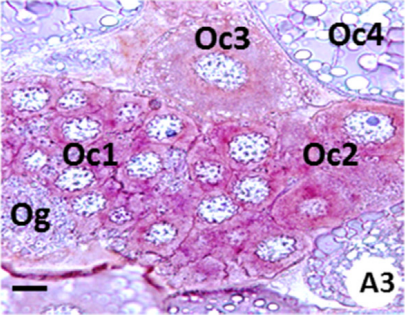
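Many small oocytes crowd together, each with a round nucleus of speckled chromatin set in reddish-pink cytoplasm. A larger oocyte at the top has a wider, paler pink cytoplasm around its nucleus. At the upper right, a still larger oocyte has cytoplasm filled with clear round vacuoles and shows little stain. At the lower left, smaller cells with fine granular cytoplasm form a less strongly stained cluster.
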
